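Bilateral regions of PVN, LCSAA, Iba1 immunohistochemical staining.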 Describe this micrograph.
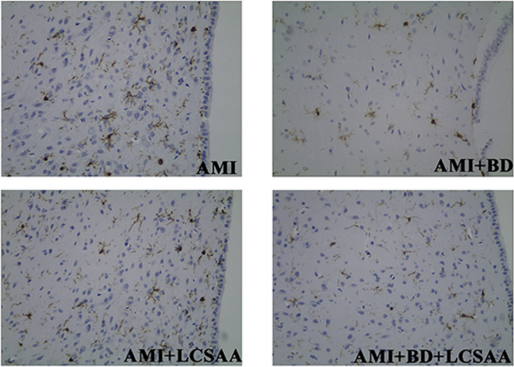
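These are sections of hypothalamic tissue in which microglia are stained brown among blue-stained nuclei. The microglia have small, dark, irregular cell bodies with fine, branching processes extending in several directions. They are spread fairly evenly through the tissue, separated from one another by areas containing unstained cells with blue nuclei. The density and appearance of the brown cells look broadly similar across the four images.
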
